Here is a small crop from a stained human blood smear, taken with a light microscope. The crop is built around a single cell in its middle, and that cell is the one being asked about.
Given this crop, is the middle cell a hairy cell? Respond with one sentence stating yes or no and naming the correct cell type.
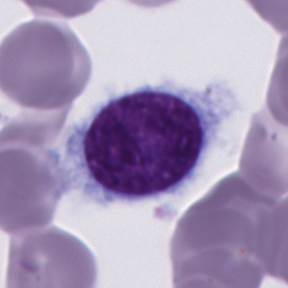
Yes, the cell shown at the crop's centre is a hairy cell.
